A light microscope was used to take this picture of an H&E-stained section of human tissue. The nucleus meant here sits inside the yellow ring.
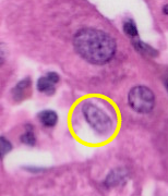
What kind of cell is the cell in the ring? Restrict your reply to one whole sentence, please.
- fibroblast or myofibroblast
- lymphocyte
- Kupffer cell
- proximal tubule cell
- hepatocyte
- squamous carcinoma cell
The correct response here is that the cell in the ring is a Kupffer cell.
